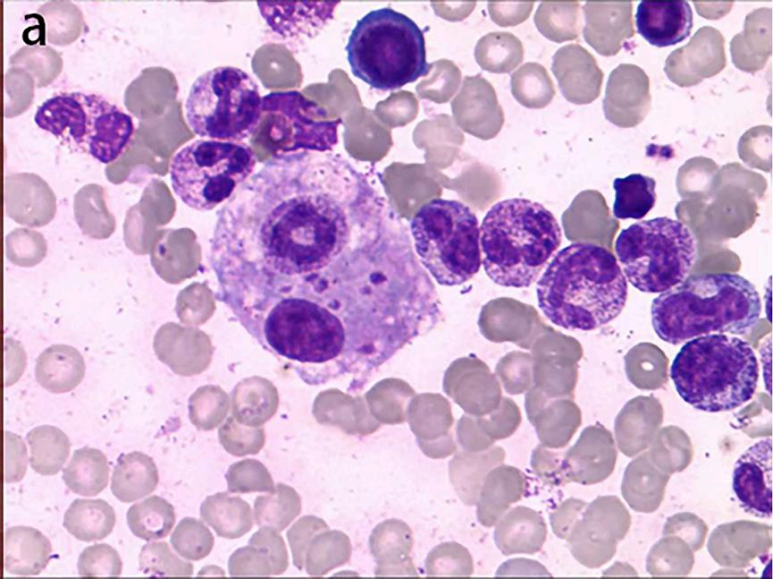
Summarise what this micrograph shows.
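A large hemophagocytic cell lies among granulocytes and red blood cells in a bone marrow smear. Its cytoplasm is abundant, pale lilac and finely vacuolated. Within it lie two rounded, deep purple nuclear bodies, one above the other. Several granulocytes with granular cytoplasm and lobed or indented nuclei lie to its right and upper left. Red cells fill the rest of the field.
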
